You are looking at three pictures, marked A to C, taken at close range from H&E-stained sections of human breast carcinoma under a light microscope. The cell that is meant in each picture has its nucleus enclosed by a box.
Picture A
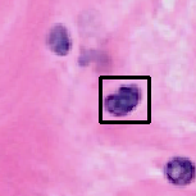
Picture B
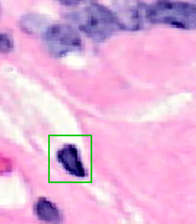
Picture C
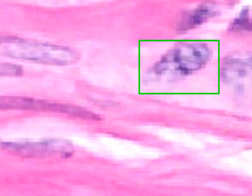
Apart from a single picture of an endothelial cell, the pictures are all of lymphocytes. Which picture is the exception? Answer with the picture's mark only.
C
